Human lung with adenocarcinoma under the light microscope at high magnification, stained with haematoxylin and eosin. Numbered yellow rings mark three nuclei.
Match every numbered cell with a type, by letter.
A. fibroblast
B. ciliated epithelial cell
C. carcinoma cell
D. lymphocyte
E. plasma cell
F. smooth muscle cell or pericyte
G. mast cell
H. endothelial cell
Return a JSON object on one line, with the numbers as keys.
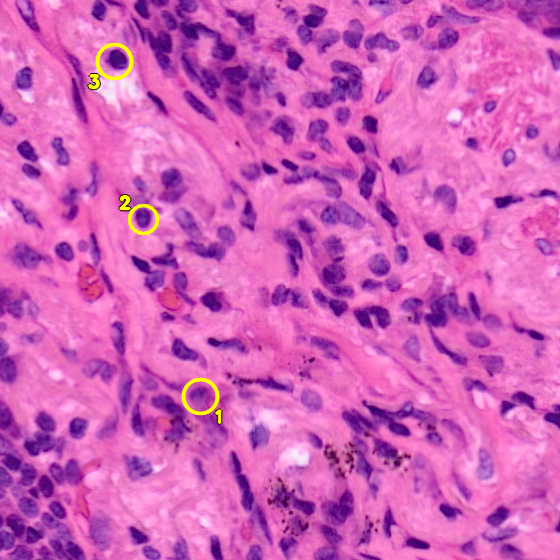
{"1": "E", "2": "D", "3": "D"}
